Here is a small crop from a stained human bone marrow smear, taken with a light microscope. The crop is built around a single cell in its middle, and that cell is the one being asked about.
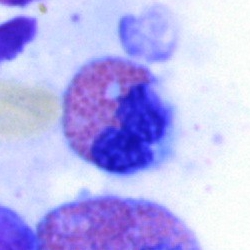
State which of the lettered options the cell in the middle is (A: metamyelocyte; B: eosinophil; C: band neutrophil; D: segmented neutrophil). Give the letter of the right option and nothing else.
B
